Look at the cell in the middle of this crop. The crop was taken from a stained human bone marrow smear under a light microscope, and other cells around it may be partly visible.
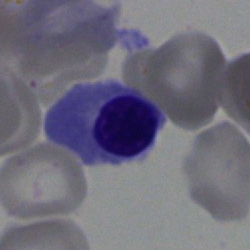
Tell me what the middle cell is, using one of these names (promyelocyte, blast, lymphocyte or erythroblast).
erythroblast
